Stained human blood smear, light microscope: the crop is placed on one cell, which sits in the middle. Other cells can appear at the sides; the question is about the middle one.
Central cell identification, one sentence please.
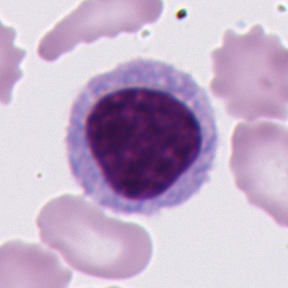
The central element of this crop is a cell, namely a hairy cell.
